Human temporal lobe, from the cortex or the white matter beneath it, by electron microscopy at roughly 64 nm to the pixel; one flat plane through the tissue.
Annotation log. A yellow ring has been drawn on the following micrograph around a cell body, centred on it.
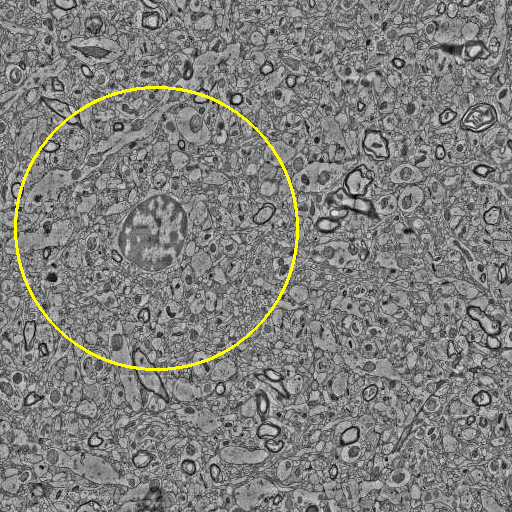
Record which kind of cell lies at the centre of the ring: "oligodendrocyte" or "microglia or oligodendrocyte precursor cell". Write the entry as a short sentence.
The cell the ring is centred on is a microglial cell or oligodendrocyte precursor cell.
